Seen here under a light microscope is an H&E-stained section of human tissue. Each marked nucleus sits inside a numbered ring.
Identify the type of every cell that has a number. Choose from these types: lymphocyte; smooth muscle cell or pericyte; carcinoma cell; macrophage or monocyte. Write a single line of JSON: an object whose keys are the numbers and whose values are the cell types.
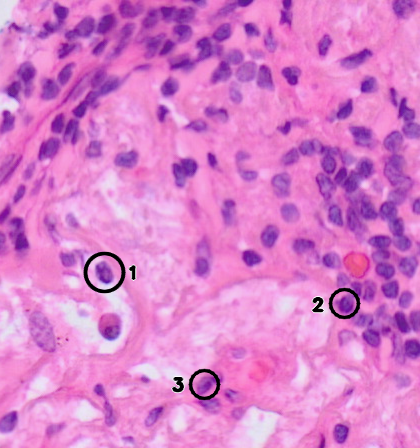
{"1": "lymphocyte", "2": "lymphocyte", "3": "smooth muscle cell or pericyte"}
